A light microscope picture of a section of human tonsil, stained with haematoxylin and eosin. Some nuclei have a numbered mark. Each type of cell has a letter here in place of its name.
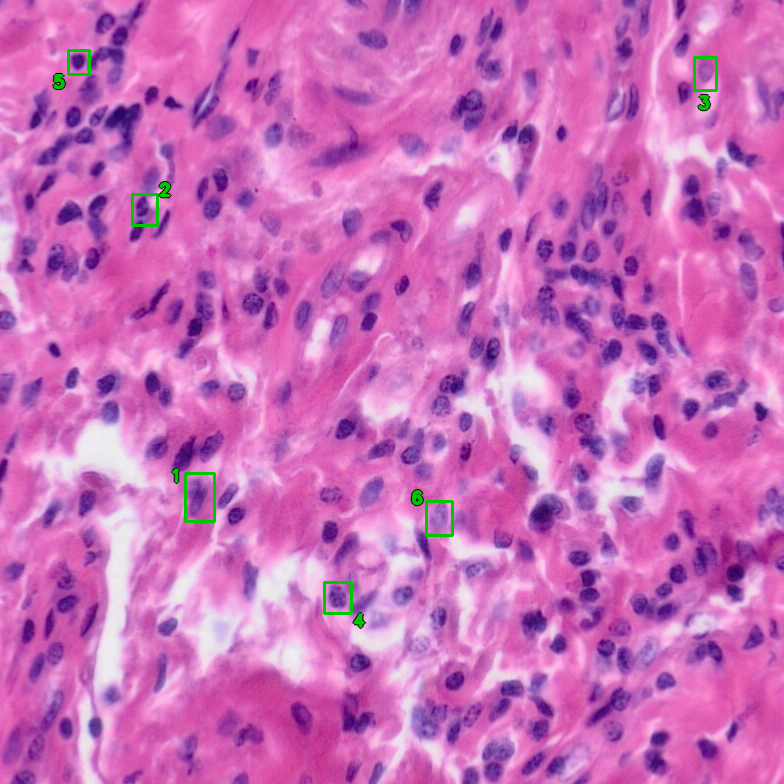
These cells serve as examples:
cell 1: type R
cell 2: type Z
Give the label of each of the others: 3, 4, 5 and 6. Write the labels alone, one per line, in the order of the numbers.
type R
type Z
type Z
type R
